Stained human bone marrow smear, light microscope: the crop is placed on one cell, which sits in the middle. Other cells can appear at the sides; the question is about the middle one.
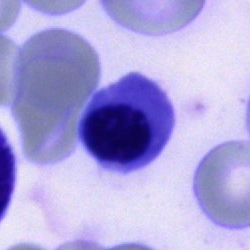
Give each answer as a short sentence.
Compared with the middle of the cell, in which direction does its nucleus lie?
The nucleus lies toward the lower left of the cell.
